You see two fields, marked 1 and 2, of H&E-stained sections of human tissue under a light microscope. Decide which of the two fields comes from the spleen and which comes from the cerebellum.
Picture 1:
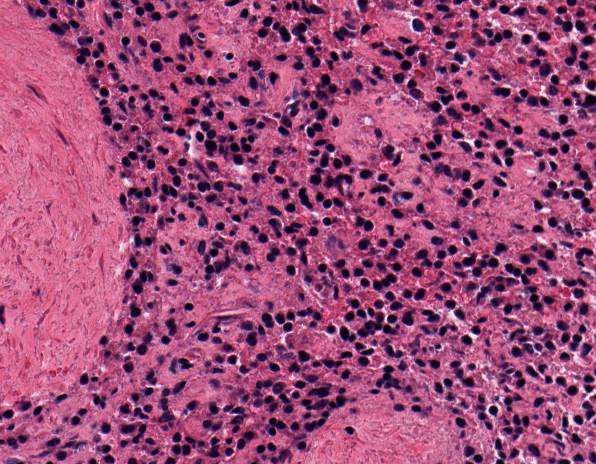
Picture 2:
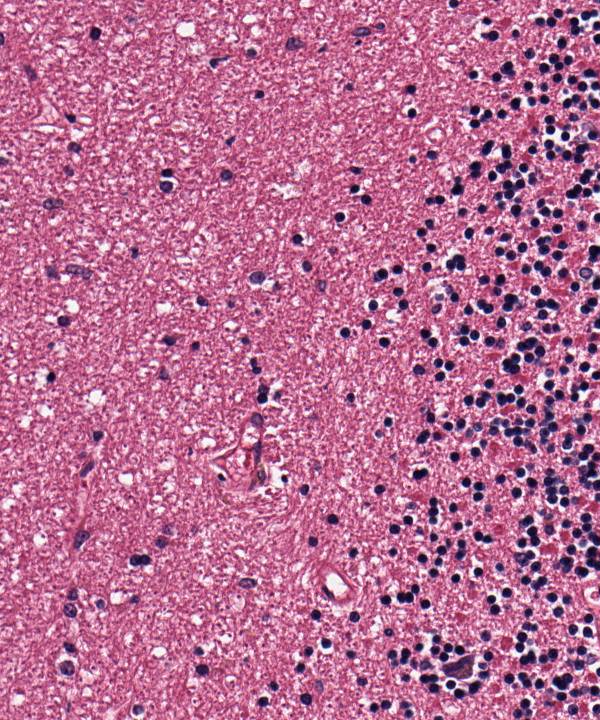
1: spleen
2: cerebellum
